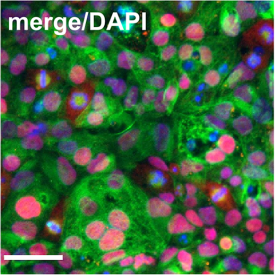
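The cytoplasm of the cells is filled with a green network of fine filaments, which outlines the cell bodies. The cells are tightly packed in a sheet-like layer, with the green filaments surrounding the red nuclei.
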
